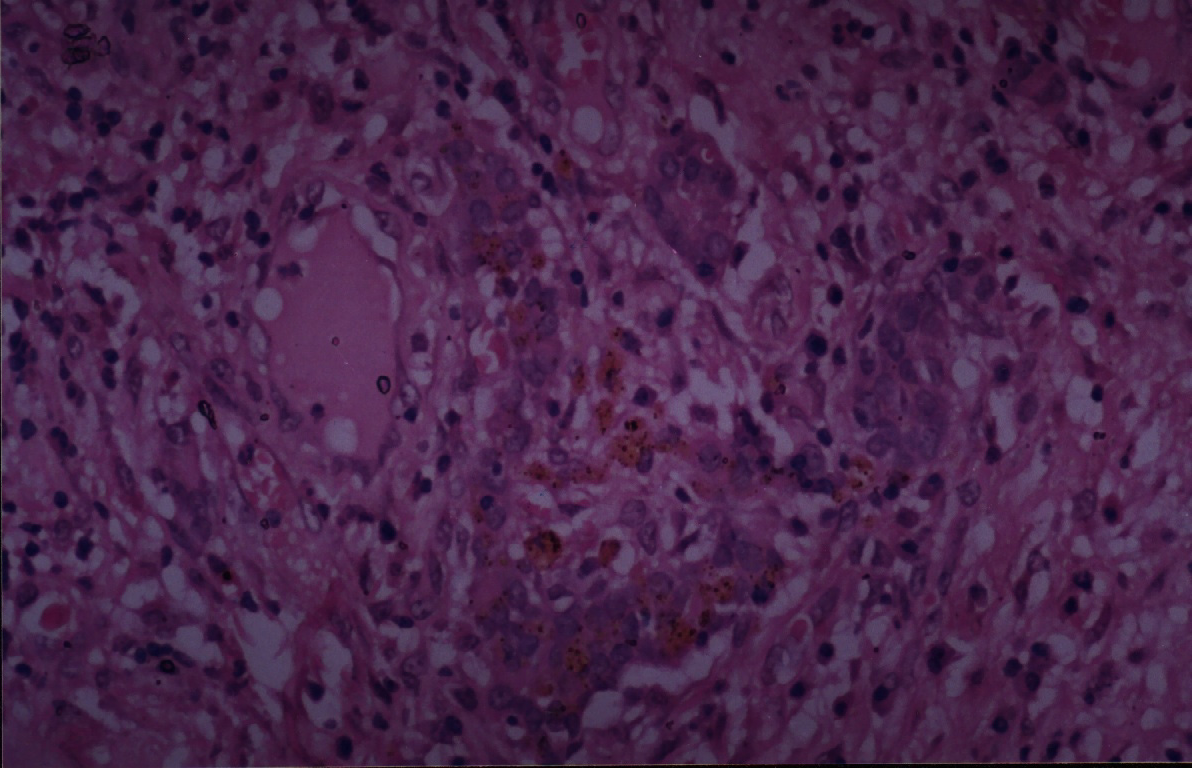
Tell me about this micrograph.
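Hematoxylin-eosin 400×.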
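Nests of pleomorphic cells are seen here, with enlarged, pale, vesicular nuclei of varying size and shape. Between the nests is a looser stroma with many smaller, dark, round to spindle-shaped nuclei. Scattered coarse brown granules lie among the cells near the centre, and a rounded pool of homogeneous pink material sits at the upper left.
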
